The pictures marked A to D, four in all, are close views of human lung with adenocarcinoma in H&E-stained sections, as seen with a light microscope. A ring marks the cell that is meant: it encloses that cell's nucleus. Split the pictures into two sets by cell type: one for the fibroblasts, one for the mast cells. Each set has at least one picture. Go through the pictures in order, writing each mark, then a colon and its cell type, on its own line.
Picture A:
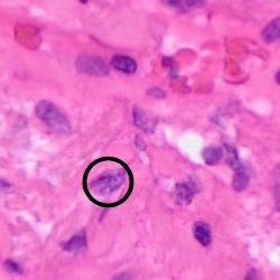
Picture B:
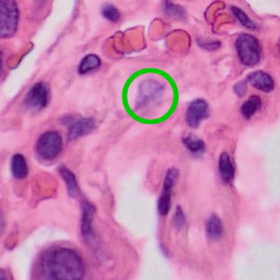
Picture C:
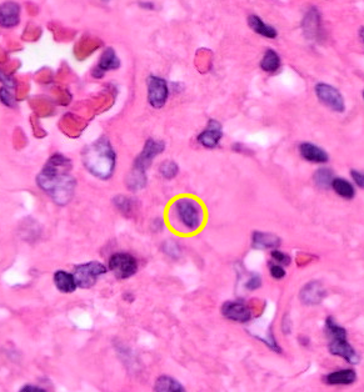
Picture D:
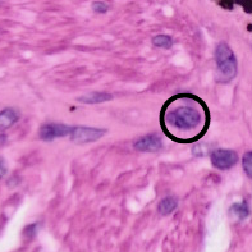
A: fibroblast
B: fibroblast
C: mast cell
D: mast cell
